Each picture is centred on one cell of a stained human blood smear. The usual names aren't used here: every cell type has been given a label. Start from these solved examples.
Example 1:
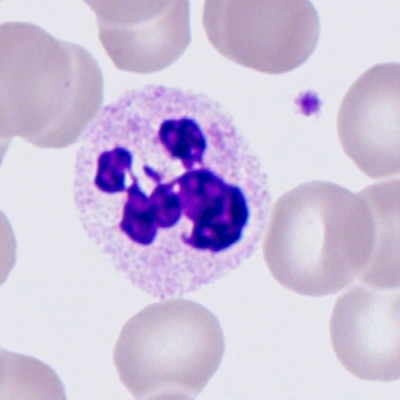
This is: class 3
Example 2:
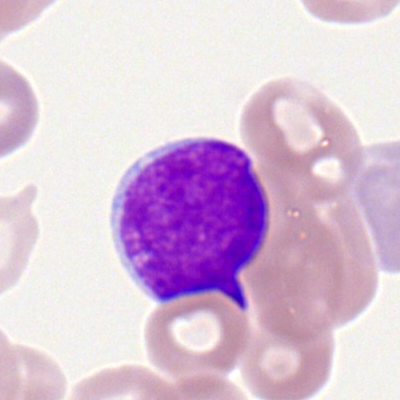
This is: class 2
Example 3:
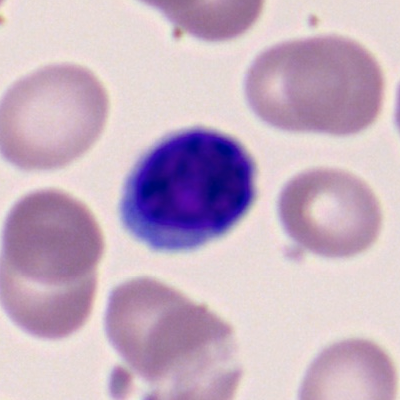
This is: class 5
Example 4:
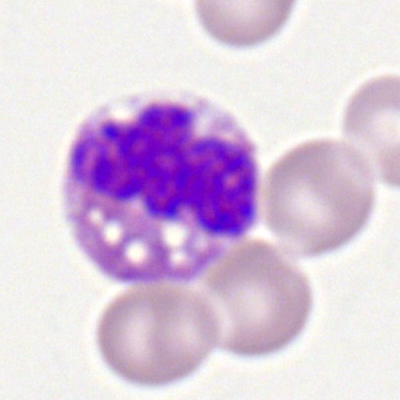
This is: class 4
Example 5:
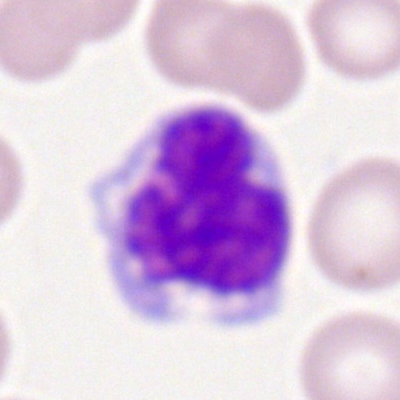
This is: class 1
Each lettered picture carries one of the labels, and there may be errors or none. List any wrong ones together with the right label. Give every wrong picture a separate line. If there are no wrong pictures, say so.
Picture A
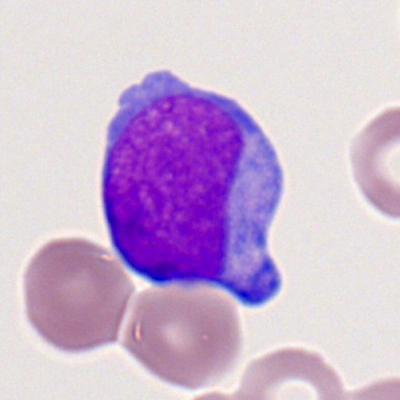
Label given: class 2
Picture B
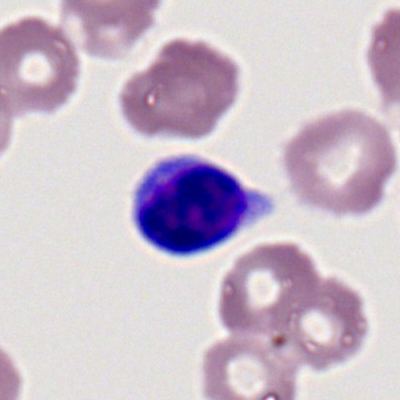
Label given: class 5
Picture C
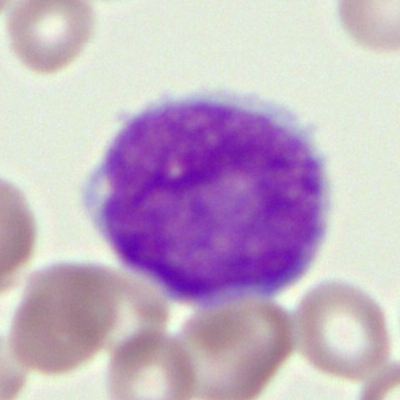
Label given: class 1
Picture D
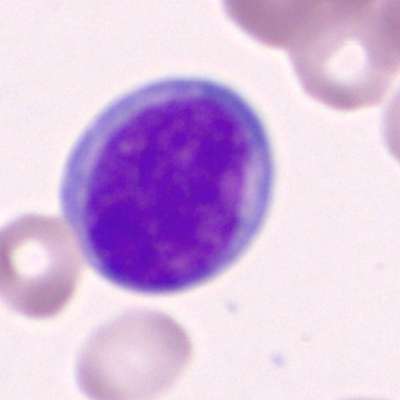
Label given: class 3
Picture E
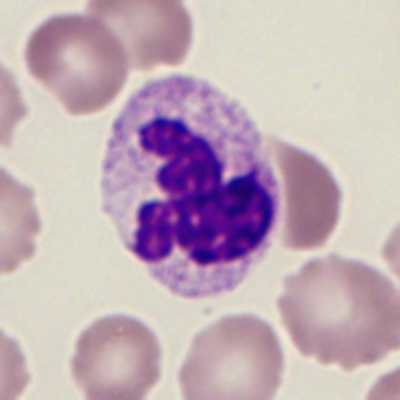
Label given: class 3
D should be class 2, not class 3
